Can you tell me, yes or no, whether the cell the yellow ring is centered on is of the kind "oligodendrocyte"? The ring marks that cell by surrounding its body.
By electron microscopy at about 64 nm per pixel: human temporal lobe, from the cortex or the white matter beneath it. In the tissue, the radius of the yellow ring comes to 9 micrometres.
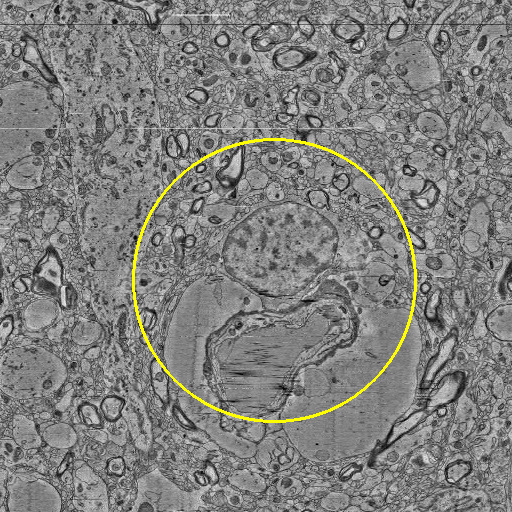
yes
